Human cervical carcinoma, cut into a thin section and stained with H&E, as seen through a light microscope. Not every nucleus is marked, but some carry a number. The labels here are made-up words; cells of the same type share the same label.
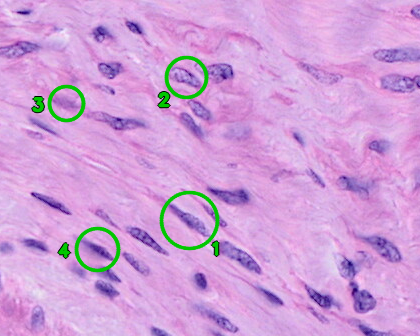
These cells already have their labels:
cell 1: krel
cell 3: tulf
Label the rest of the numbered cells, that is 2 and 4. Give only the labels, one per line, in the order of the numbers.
tulf
krel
